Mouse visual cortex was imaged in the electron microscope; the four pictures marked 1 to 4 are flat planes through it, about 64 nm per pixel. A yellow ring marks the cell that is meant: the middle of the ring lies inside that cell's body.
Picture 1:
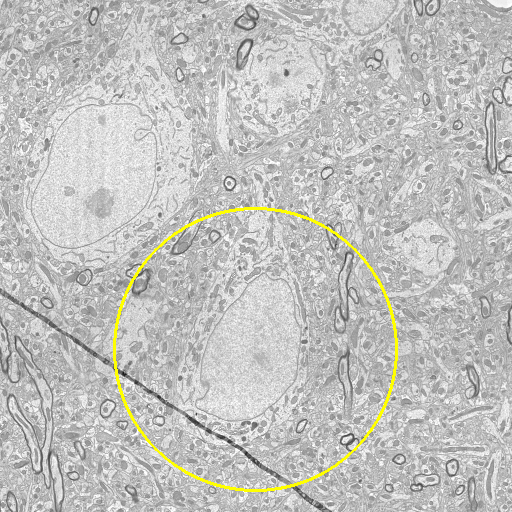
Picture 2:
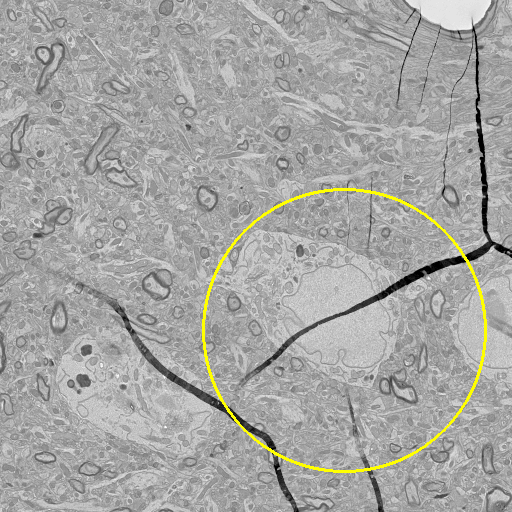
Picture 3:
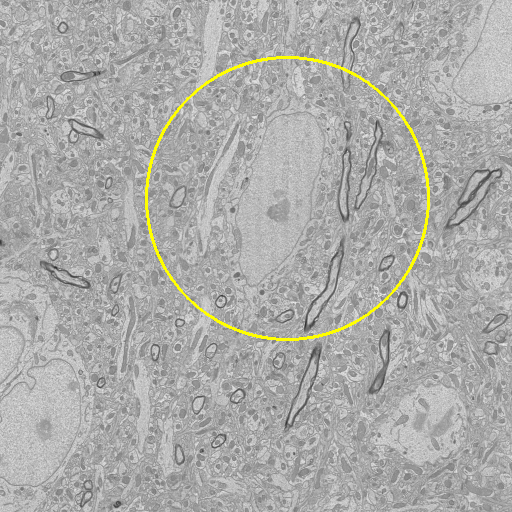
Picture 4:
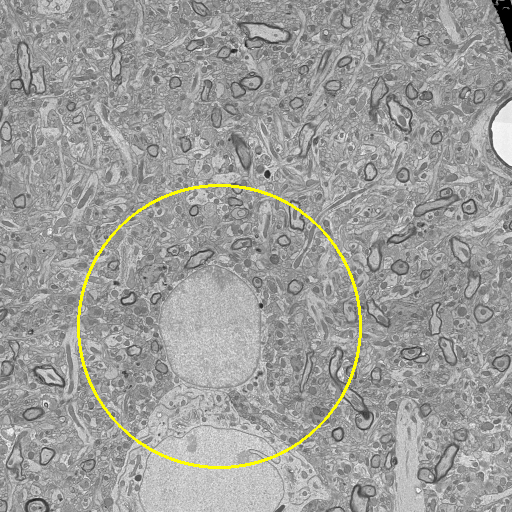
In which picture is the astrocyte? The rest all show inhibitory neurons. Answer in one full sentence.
The astrocyte is the one in picture 4.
